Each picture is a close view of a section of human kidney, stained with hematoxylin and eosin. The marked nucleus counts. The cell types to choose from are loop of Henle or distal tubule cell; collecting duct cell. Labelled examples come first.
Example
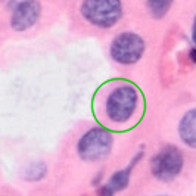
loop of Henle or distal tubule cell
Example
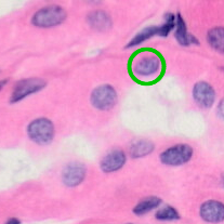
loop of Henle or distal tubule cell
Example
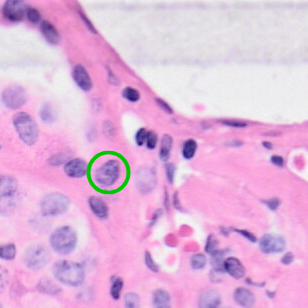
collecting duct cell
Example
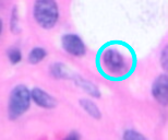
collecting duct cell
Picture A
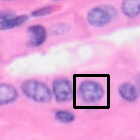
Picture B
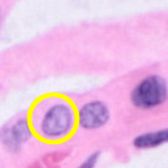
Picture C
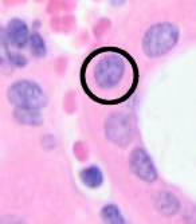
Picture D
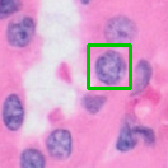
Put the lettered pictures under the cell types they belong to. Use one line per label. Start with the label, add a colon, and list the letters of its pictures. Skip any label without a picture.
loop of Henle or distal tubule cell: D
collecting duct cell: A, B, C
